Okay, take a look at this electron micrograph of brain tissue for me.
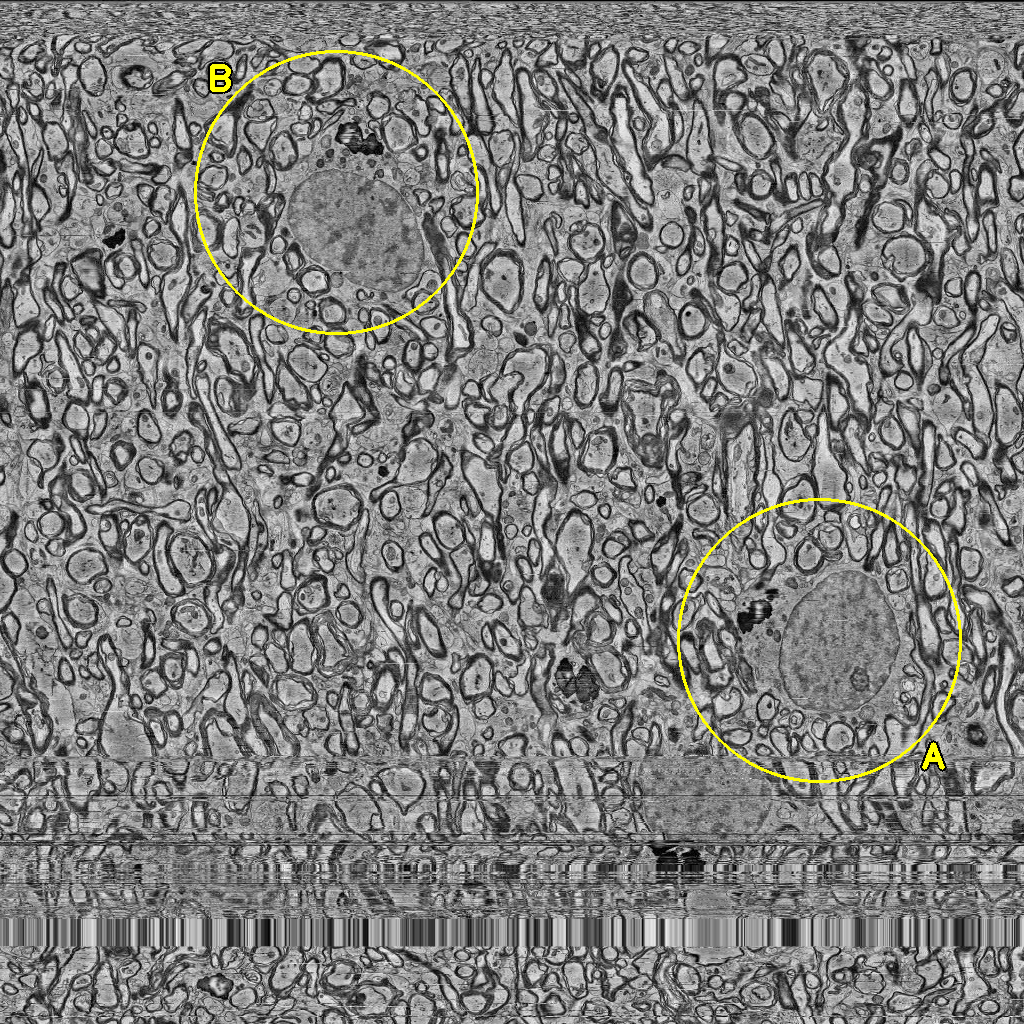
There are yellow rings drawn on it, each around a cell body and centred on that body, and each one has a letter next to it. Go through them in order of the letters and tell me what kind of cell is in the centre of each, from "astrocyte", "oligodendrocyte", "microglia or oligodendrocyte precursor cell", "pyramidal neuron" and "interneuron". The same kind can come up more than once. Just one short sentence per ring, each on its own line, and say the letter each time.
In the centre of ring A there's an oligodendrocyte.
In the centre of ring B there's an oligodendrocyte.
